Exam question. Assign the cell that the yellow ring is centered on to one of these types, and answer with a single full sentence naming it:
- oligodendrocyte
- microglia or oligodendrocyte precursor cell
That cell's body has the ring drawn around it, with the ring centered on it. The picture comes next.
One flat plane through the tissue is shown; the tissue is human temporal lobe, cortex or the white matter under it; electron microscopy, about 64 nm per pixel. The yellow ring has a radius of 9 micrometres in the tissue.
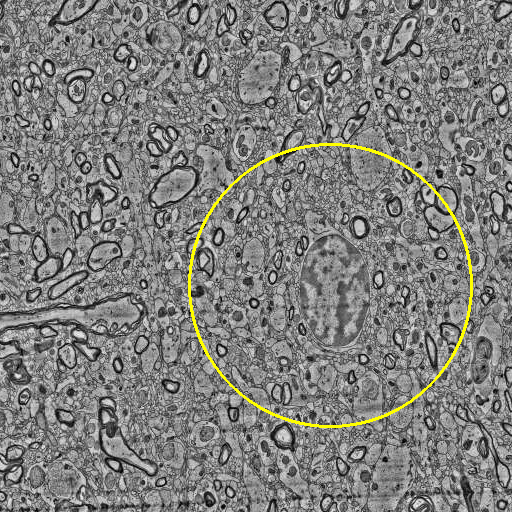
In the micrograph, the cell the yellow ring is centered on is a microglial cell or oligodendrocyte precursor cell.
